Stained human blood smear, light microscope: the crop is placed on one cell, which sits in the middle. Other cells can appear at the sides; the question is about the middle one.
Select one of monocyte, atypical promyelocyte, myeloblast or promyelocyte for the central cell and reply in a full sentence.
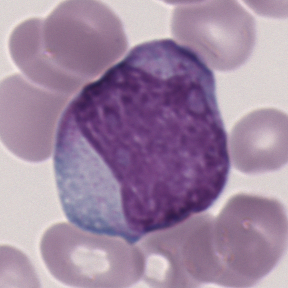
The cell centered in this field of view is an atypical promyelocyte.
